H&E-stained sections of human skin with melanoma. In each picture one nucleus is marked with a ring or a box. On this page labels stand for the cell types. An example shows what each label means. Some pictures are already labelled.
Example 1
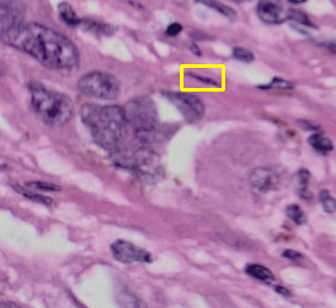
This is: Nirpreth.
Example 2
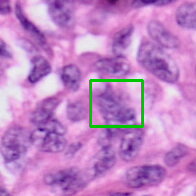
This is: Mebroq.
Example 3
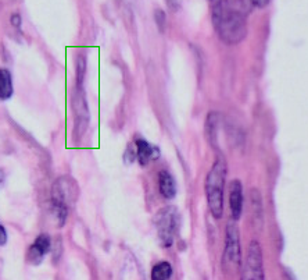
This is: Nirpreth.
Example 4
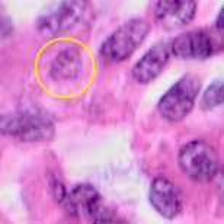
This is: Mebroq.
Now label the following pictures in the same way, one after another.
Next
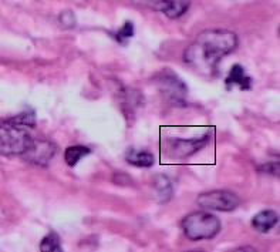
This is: Nirpreth.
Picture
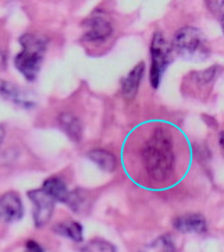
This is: Mebroq.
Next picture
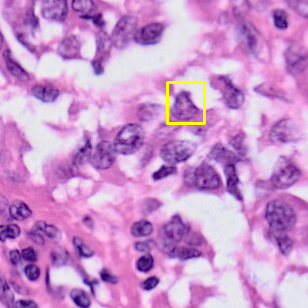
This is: Mebroq.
